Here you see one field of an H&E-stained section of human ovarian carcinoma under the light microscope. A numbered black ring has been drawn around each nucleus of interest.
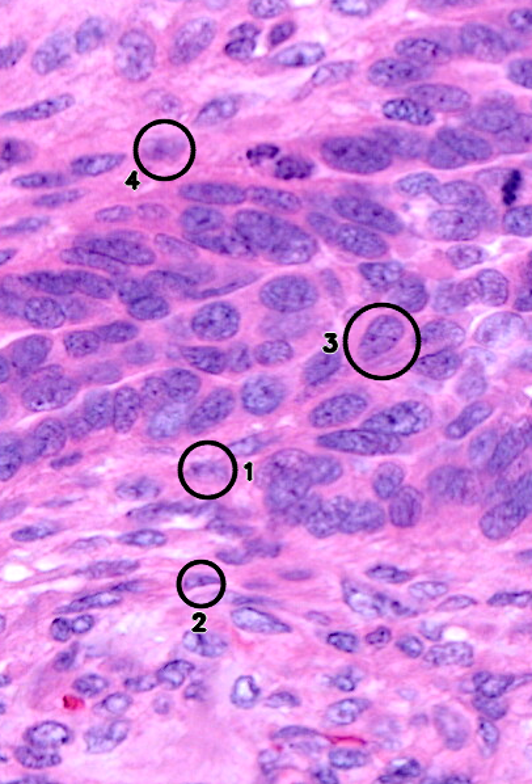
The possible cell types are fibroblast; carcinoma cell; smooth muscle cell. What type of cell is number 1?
fibroblast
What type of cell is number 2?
fibroblast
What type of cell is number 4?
fibroblast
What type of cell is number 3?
carcinoma cell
